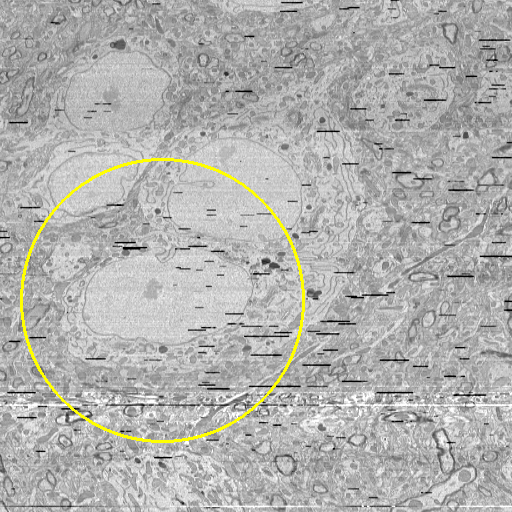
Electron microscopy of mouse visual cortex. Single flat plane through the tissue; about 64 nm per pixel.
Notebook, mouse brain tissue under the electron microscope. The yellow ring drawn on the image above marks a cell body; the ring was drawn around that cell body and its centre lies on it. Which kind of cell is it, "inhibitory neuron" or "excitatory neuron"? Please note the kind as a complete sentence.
The marked cell body is that of an excitatory neuron.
